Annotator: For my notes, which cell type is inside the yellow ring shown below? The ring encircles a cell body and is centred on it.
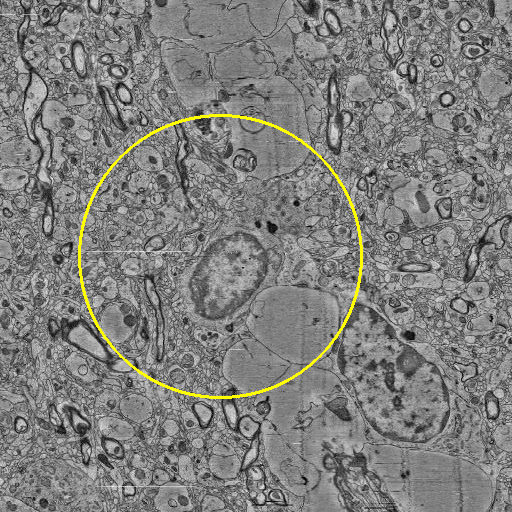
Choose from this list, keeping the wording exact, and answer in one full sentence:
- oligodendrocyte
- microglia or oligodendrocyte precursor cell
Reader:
At the centre of the yellow ring there is an oligodendrocyte, as shown in the picture.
